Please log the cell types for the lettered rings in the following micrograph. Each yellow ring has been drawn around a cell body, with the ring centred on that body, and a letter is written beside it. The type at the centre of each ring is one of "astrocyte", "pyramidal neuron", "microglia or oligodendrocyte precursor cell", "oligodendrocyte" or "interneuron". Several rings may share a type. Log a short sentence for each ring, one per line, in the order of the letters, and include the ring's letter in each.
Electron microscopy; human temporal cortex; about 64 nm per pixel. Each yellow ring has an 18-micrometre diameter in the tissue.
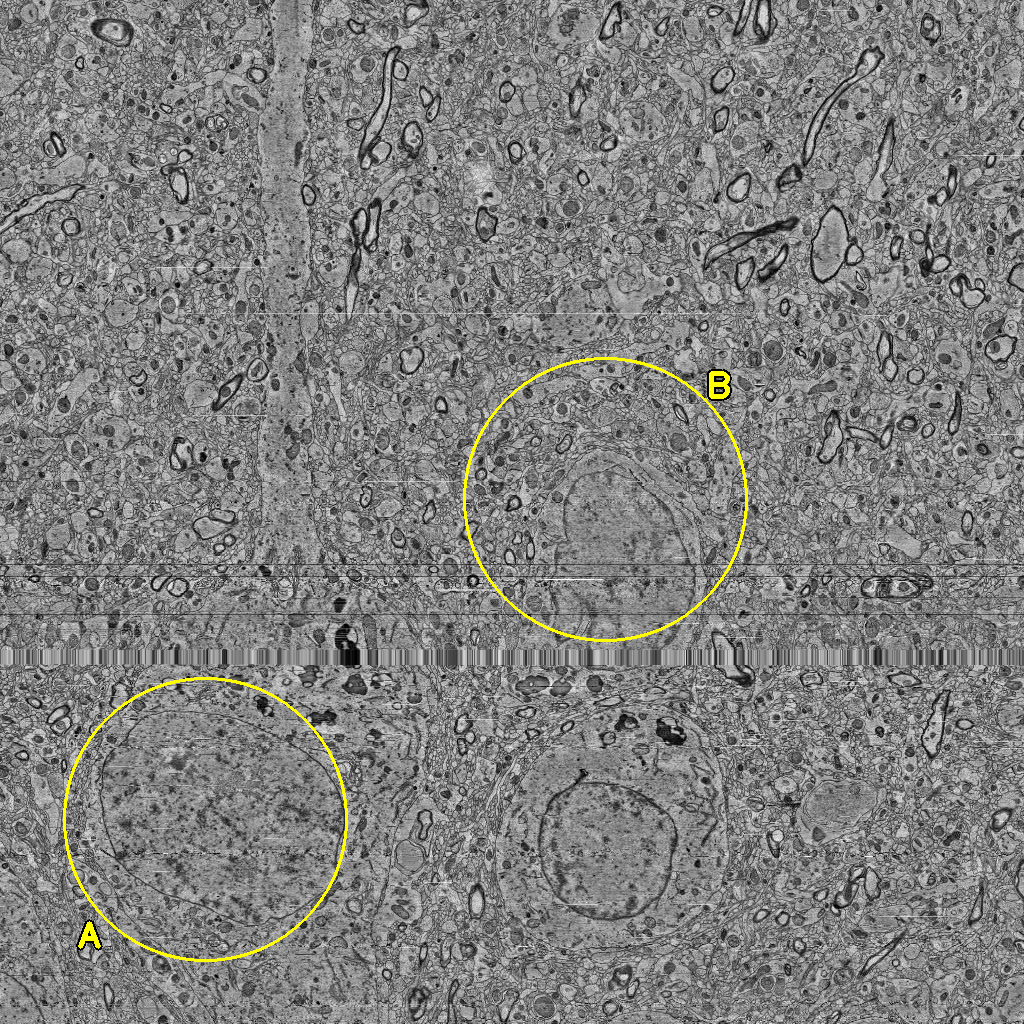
In ring A the central cell is a pyramidal neuron.
In ring B the central cell is an interneuron.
